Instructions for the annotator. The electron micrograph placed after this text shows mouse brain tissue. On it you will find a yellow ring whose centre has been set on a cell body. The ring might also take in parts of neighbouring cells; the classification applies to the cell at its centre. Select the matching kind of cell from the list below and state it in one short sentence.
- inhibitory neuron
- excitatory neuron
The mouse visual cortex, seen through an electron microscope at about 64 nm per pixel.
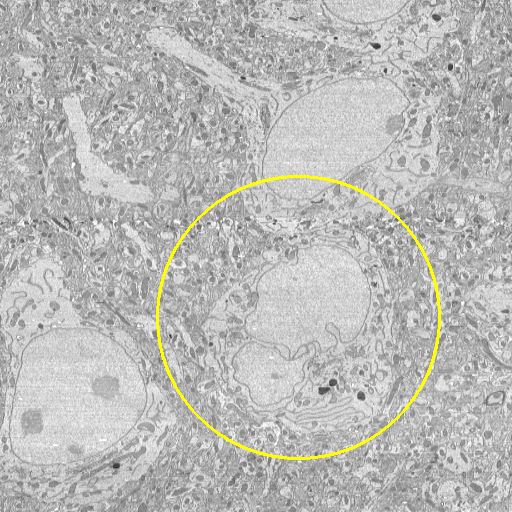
The ring is drawn on the cell body of an inhibitory neuron.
